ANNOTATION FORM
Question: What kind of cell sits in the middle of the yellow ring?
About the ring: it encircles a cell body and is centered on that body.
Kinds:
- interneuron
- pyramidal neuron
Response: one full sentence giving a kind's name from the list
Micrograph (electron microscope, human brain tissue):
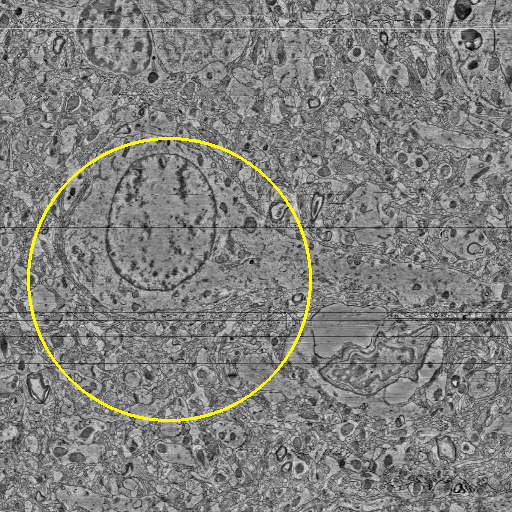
The kind of cell found at the center of the yellow ring in the micrograph is a pyramidal neuron.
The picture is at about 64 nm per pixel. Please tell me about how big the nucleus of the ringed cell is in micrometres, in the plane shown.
In this plane, the nucleus is roughly 9 by 7 micrometres.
